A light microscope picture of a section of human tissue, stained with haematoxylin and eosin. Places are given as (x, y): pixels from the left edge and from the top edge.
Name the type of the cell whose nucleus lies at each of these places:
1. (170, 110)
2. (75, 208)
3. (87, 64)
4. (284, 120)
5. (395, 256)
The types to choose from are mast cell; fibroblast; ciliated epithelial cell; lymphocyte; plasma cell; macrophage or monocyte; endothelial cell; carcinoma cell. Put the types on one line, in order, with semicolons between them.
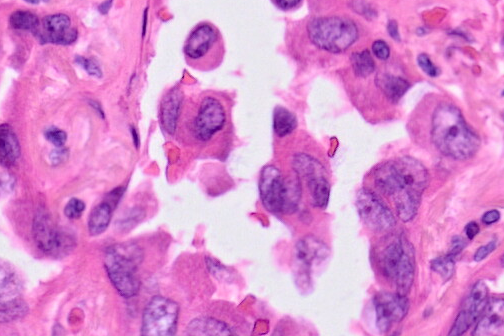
carcinoma cell; lymphocyte; fibroblast; carcinoma cell; carcinoma cell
